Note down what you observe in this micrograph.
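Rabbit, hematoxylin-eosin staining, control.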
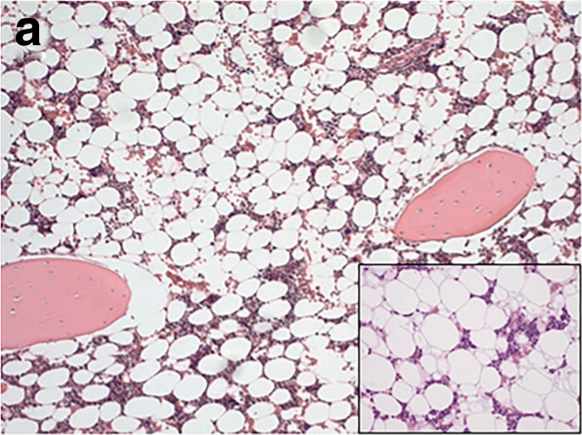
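Bone marrow with pink bony trabeculae surrounded by numerous round, clear fat cells. Between the fat cells lie cords and clusters of haematopoietic cells with dark purple nuclei and scattered red blood cells, and the trabeculae contain small osteocyte nuclei in their lacunae.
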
